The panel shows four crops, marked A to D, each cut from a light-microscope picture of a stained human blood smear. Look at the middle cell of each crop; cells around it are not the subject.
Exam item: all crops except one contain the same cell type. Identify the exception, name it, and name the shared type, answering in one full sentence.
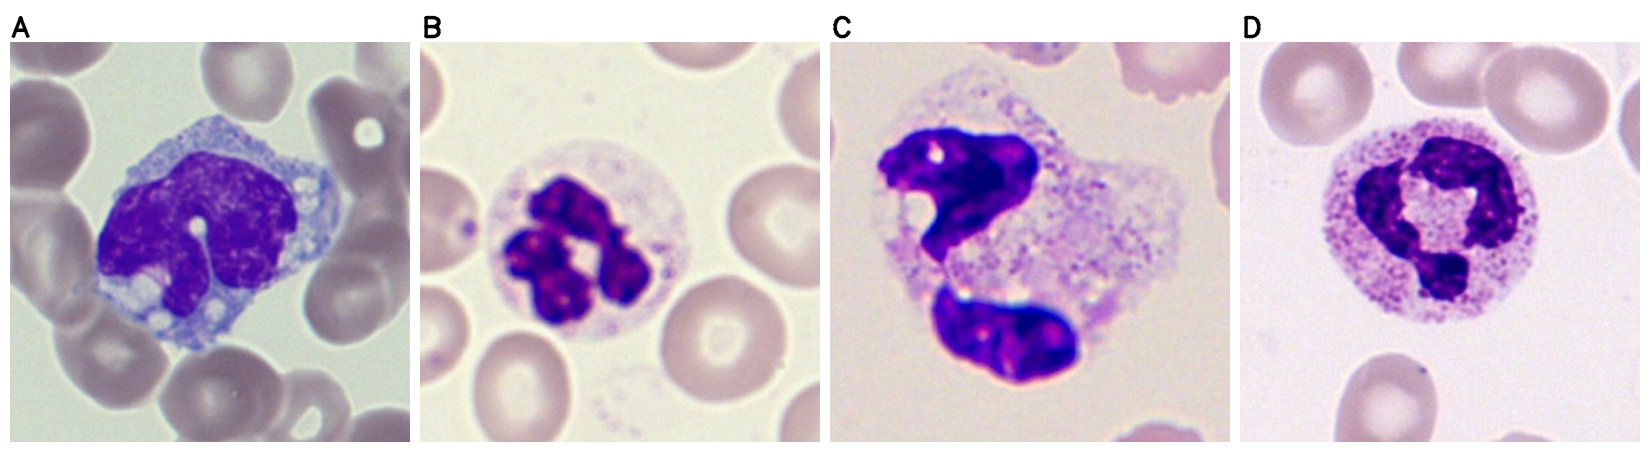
Crop A presents a monocyte, while segmented neutrophils are presented by all other crops.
